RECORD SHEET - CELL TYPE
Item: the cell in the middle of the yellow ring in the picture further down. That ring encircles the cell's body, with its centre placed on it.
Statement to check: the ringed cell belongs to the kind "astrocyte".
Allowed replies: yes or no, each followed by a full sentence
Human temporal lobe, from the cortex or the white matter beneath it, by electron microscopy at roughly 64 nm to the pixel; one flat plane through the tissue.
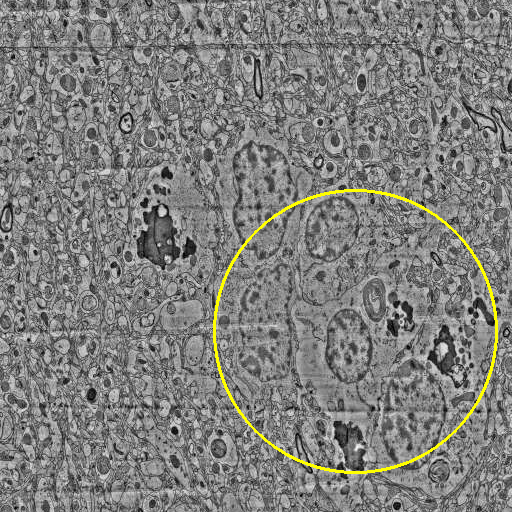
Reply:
Yes, the cell held at the centre of the ring in the picture is of that kind.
